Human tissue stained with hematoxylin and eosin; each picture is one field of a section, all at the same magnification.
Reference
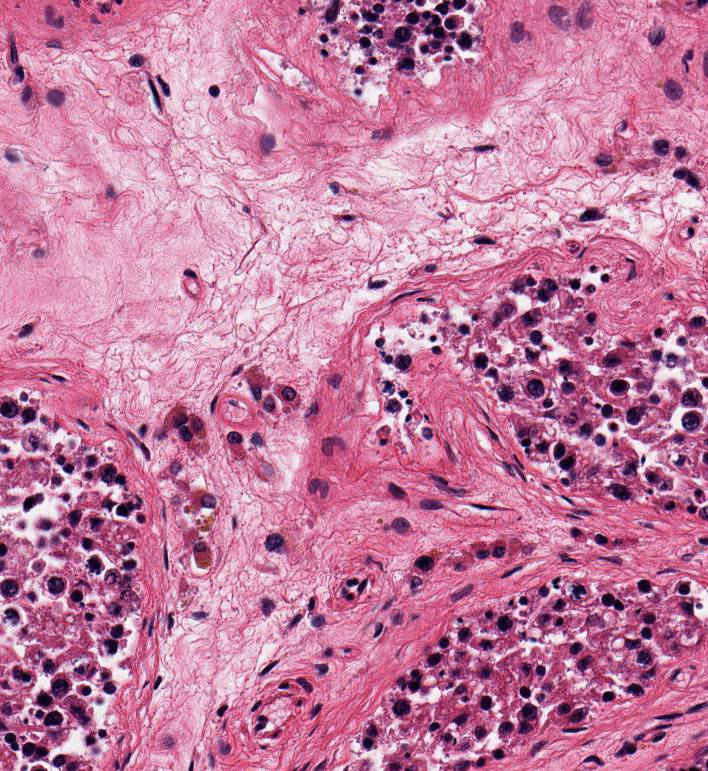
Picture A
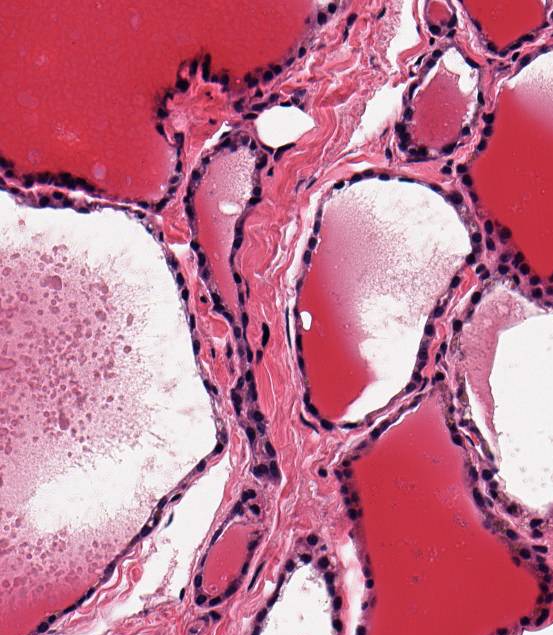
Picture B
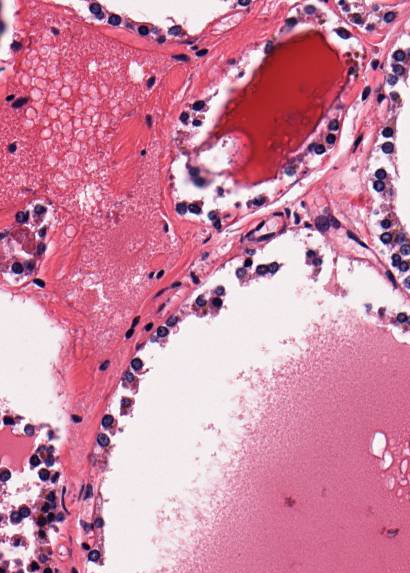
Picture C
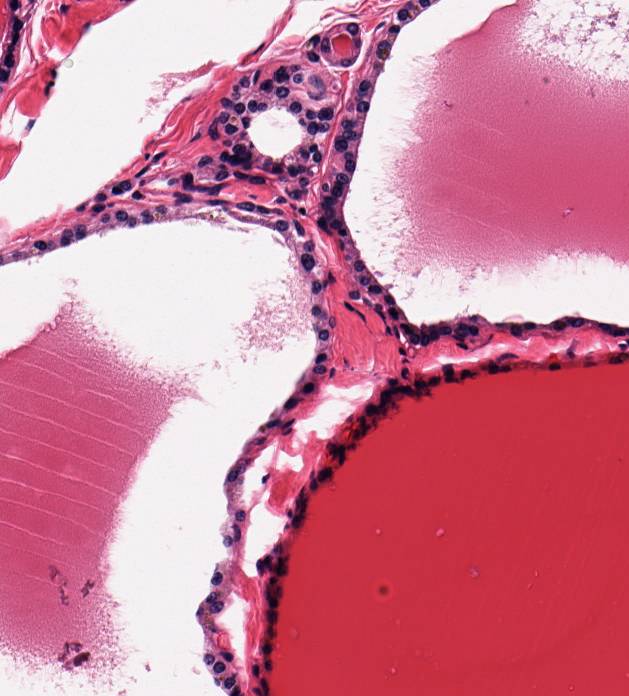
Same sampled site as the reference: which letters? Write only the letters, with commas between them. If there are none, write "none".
none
